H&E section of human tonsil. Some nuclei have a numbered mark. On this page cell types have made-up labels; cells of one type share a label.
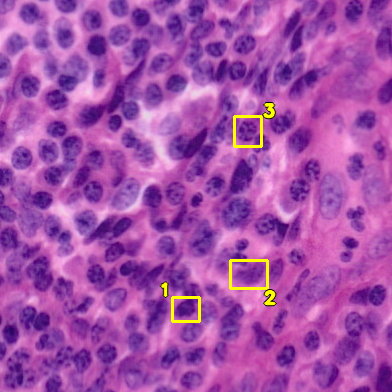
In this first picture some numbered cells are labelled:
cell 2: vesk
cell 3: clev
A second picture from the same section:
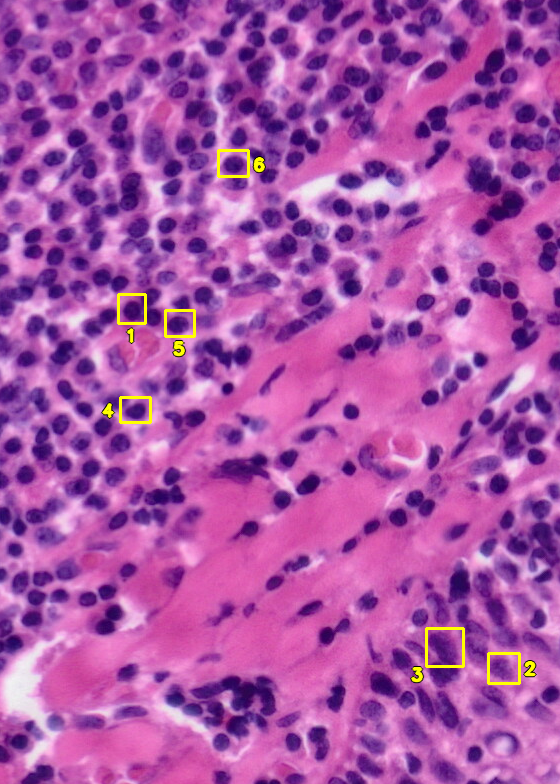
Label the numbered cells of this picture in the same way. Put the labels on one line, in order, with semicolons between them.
clev; vesk; vesk; clev; clev; clev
